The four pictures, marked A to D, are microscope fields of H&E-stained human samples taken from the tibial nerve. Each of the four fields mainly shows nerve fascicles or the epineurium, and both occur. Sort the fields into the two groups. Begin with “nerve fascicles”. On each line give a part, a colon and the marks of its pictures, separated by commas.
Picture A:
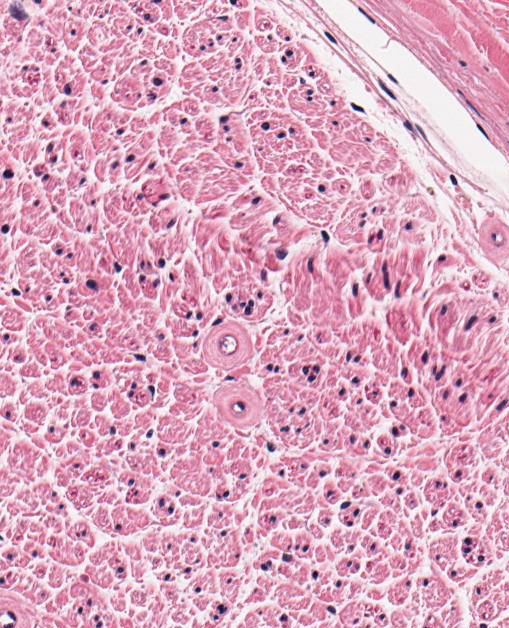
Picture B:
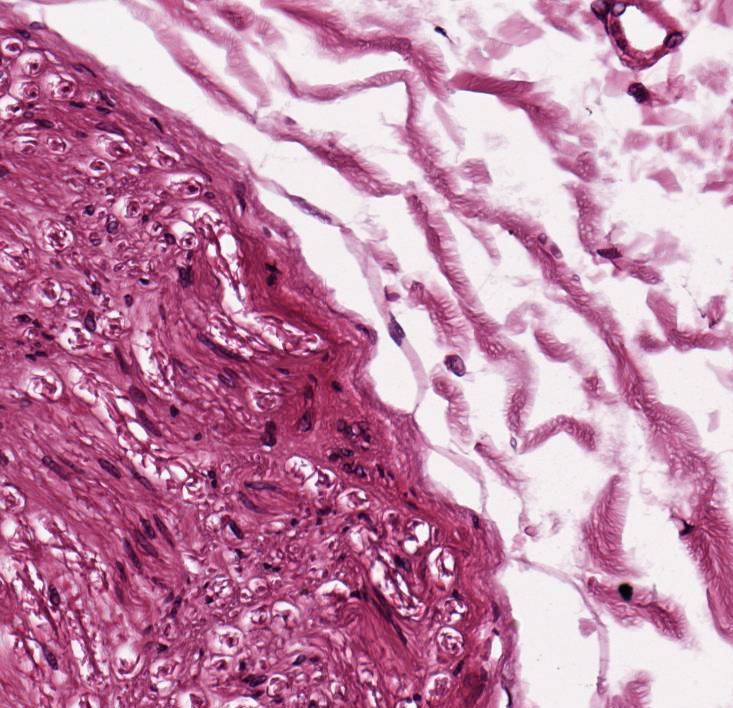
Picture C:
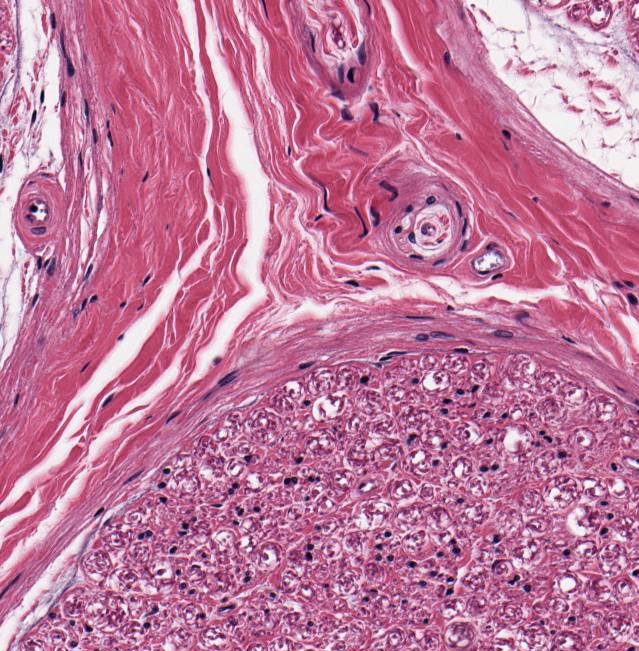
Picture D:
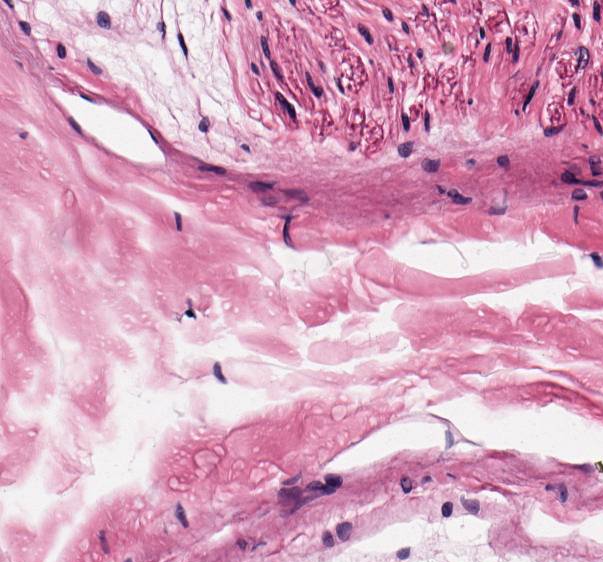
nerve fascicles: A, B
epineurium: C, D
